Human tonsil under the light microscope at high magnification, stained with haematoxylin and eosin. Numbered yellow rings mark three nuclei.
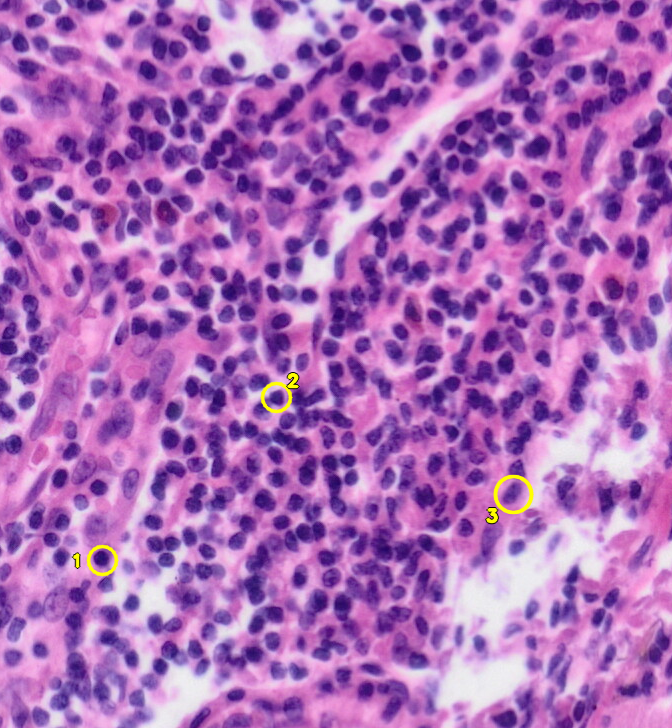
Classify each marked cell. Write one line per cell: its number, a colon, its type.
1: endothelial cell
2: small lymphocyte
3: endothelial cell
